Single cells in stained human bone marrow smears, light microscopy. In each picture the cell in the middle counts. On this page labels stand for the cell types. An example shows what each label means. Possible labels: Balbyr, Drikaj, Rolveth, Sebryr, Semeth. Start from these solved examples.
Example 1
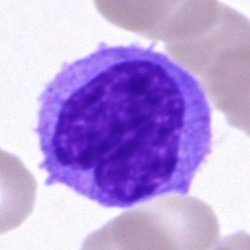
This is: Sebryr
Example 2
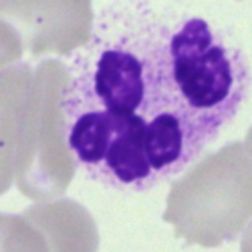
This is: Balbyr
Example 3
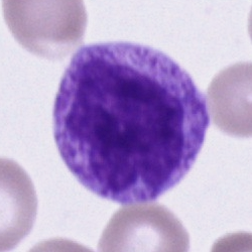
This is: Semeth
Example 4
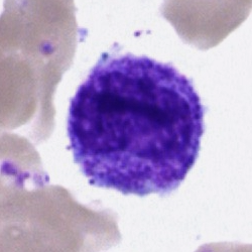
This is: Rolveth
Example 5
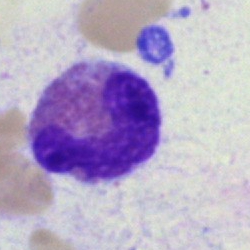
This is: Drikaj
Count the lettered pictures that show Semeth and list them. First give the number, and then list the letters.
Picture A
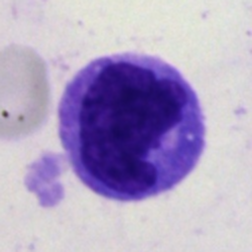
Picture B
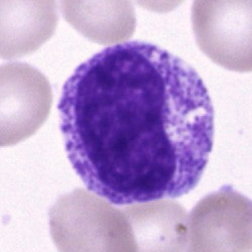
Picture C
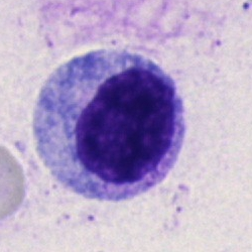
0, none of them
